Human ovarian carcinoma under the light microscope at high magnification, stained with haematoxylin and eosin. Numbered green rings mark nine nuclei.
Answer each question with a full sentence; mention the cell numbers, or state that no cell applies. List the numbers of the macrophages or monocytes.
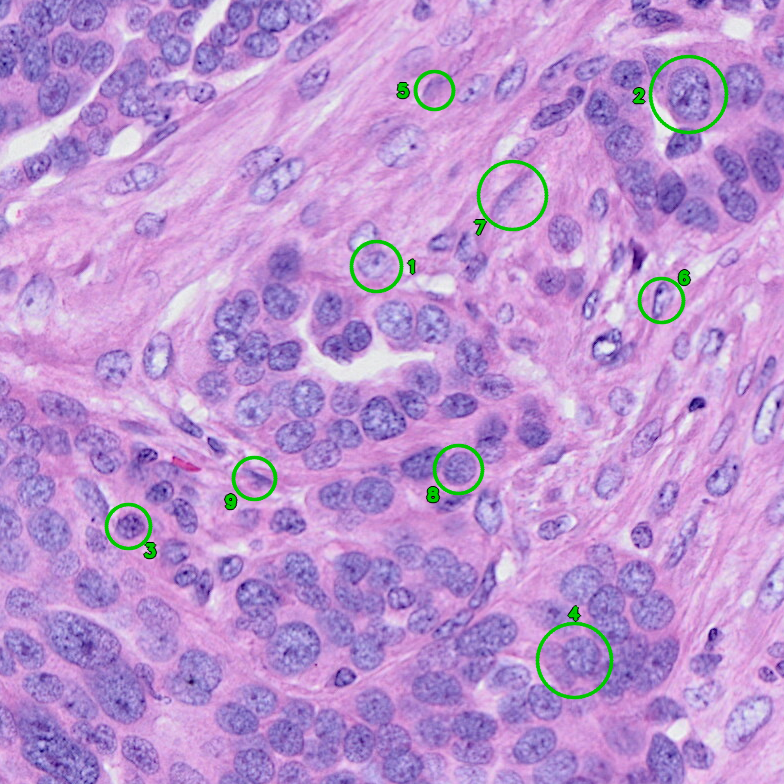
Exactly one numbered cell is a macrophage or monocyte, and that cell is number 3.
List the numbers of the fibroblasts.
The cells with the number labels 1, 5, 6, 7 and 9 are fibroblasts.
